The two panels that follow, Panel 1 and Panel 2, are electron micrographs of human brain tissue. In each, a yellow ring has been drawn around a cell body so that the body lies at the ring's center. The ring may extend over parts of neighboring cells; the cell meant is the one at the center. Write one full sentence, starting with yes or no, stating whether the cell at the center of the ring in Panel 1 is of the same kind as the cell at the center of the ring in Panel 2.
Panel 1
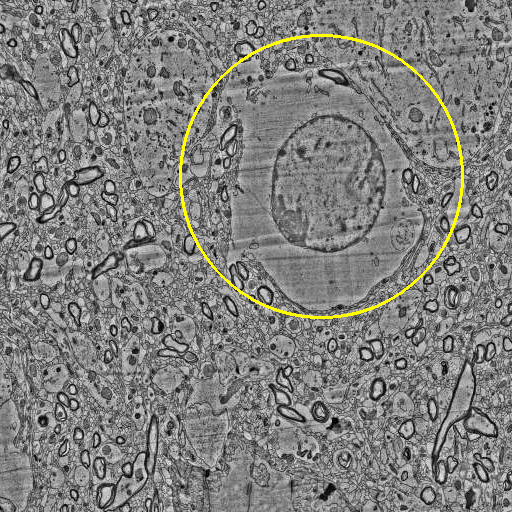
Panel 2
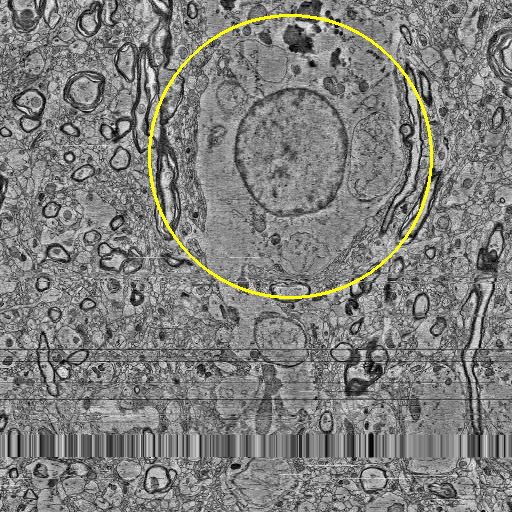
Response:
Yes, the cells in both panels are of the same kind.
